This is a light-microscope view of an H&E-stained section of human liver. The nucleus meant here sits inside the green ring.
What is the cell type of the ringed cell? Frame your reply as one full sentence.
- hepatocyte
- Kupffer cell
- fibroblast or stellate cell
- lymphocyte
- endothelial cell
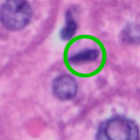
With respect to cell type, the ringed cell is a fibroblast or stellate cell.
